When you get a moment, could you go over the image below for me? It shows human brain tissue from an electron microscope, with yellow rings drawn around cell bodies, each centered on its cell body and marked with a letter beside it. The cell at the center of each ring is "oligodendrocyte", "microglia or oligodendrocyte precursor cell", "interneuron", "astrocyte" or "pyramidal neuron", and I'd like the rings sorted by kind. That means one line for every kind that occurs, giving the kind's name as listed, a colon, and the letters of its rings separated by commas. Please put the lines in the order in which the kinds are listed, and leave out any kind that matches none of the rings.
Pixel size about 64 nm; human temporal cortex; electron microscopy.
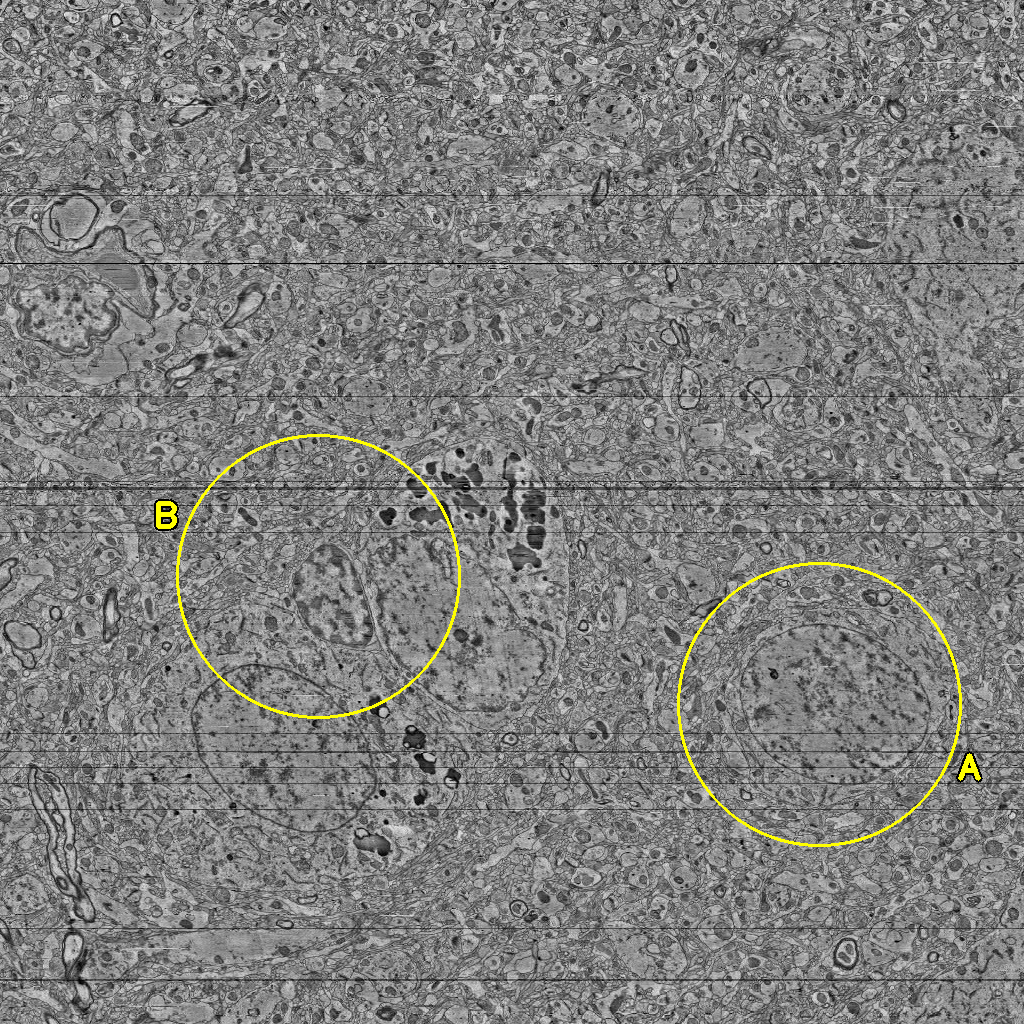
microglia or oligodendrocyte precursor cell: B
pyramidal neuron: A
